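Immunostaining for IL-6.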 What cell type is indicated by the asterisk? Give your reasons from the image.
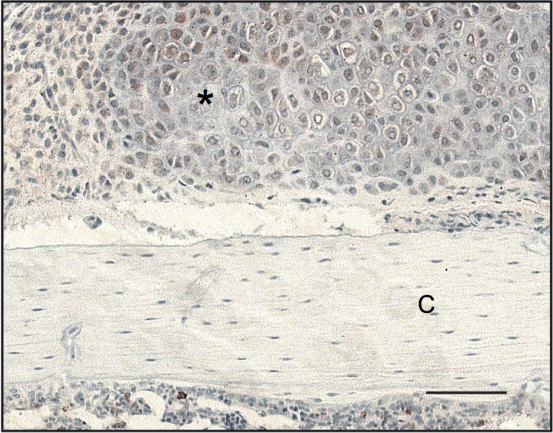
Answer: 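The asterisk lies among large, round to polygonal cells with clear halos. Many of the cells have brownish cytoplasm around a small nucleus. The cells lie above a pale band with scattered flat nuclei. On this evidence: hypertrophic chondrocytes.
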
